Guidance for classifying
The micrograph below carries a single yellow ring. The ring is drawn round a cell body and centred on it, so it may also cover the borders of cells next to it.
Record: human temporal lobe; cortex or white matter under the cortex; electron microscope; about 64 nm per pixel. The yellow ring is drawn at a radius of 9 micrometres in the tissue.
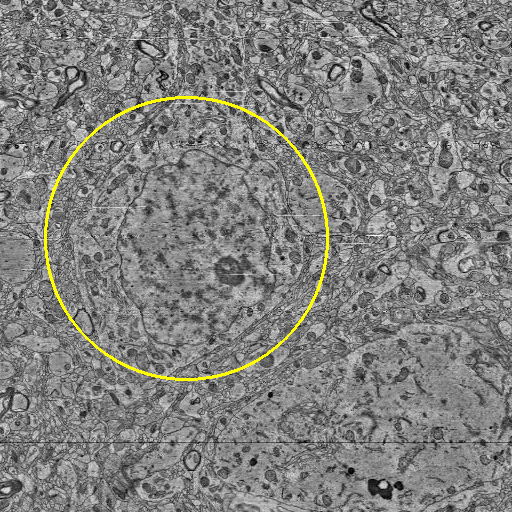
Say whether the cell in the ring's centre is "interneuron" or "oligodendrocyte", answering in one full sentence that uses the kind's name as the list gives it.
Within the yellow ring, an interneuron is the cell whose body sits at the centre.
